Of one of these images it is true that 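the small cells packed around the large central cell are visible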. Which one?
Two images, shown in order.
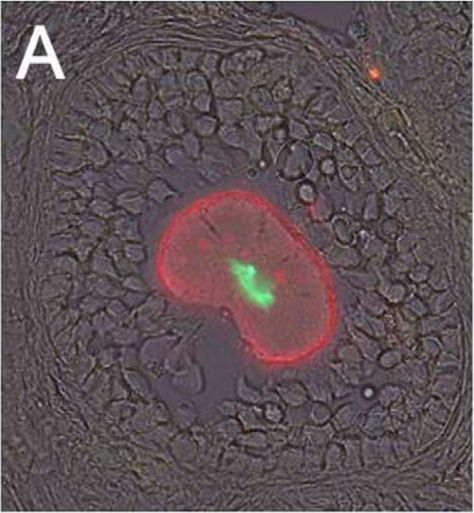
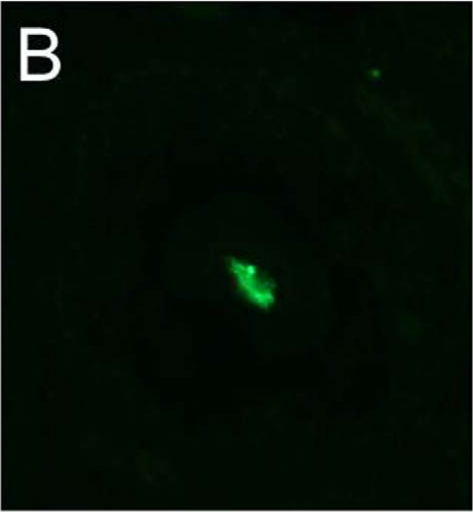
The first image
